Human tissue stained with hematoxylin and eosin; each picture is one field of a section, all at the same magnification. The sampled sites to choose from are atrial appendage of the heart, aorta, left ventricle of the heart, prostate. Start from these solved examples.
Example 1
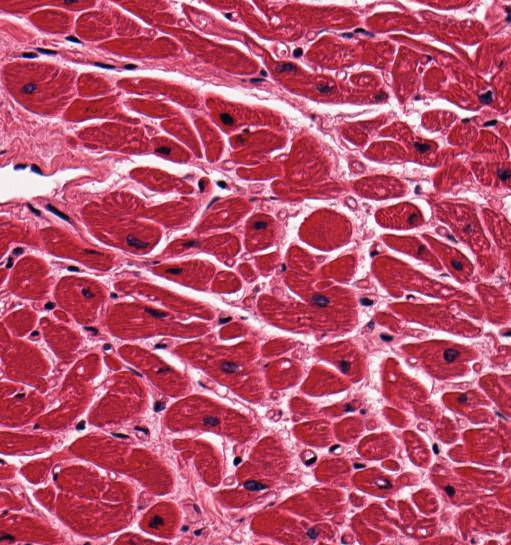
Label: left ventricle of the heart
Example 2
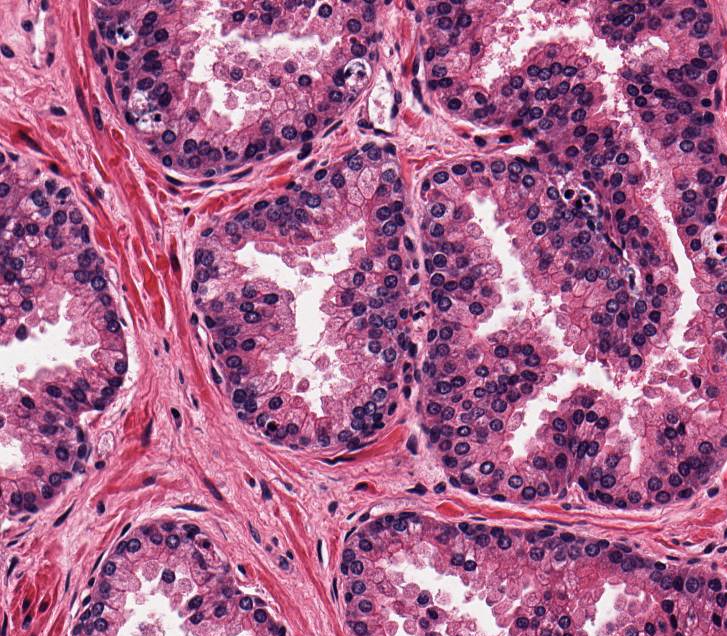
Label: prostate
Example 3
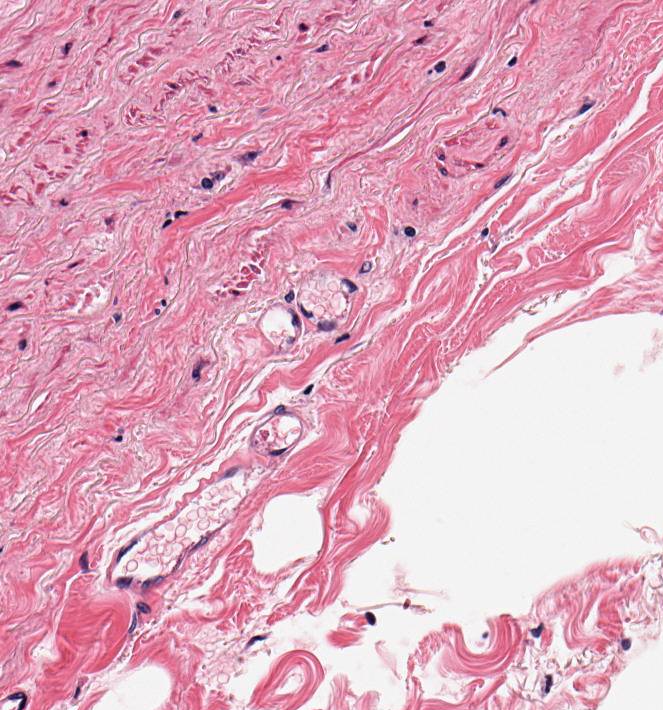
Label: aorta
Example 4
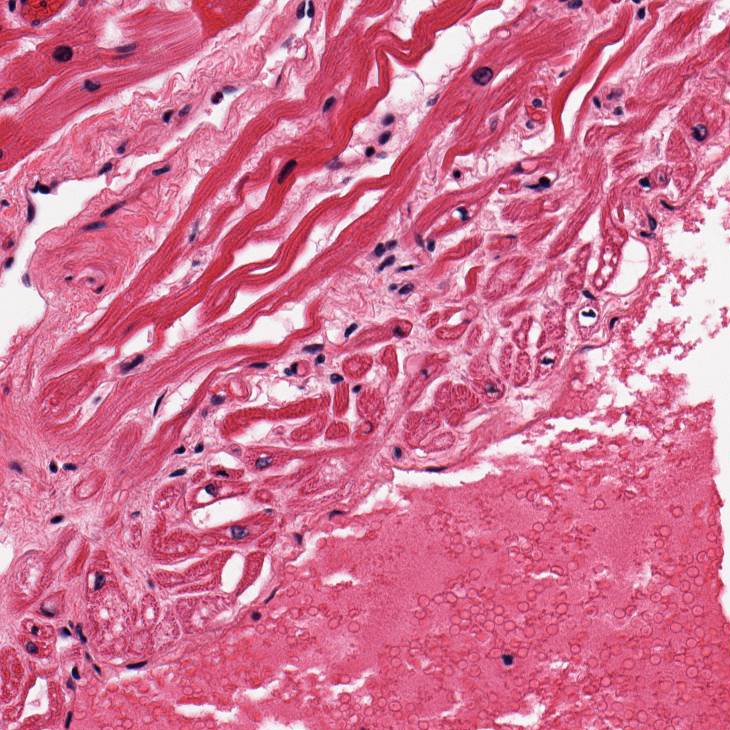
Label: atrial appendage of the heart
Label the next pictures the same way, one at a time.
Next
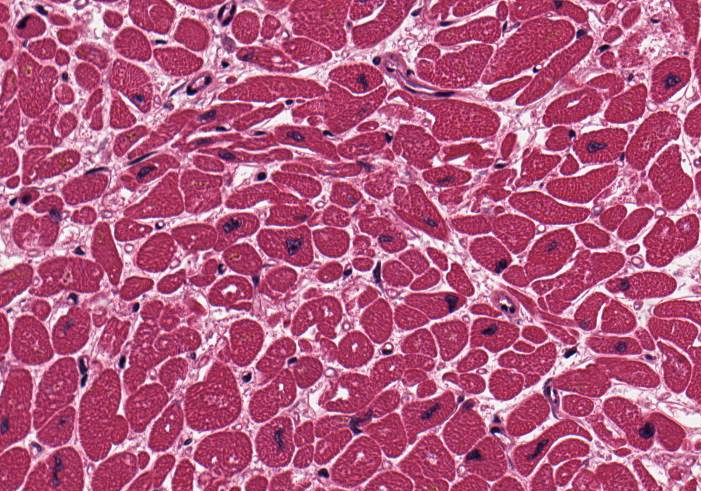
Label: left ventricle of the heart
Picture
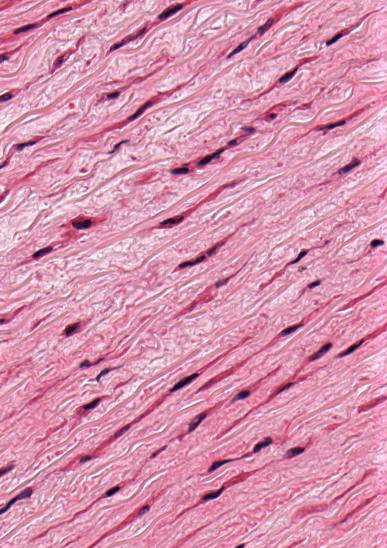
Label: aorta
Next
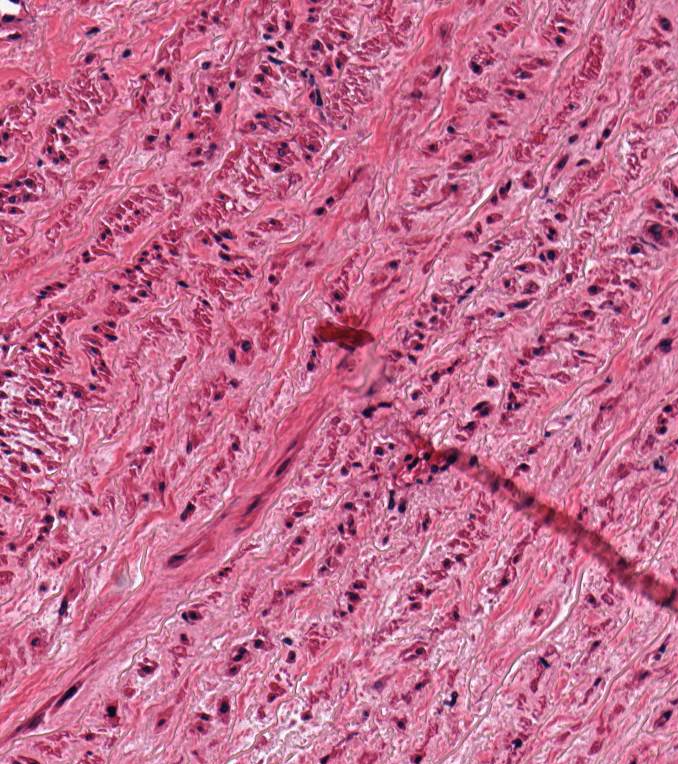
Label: aorta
